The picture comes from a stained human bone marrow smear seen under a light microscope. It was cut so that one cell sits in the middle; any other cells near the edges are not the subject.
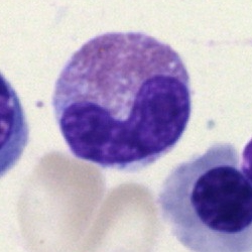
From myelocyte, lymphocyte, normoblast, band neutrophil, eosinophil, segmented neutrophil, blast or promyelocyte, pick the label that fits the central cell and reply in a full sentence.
Here the centrally located cell is an eosinophil.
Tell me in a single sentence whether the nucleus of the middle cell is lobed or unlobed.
Worth pointing out that its nucleus is one compact mass, round, oval or reniform.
